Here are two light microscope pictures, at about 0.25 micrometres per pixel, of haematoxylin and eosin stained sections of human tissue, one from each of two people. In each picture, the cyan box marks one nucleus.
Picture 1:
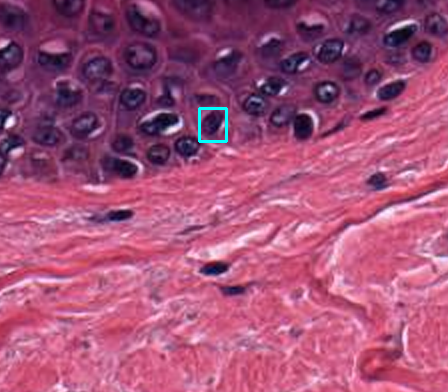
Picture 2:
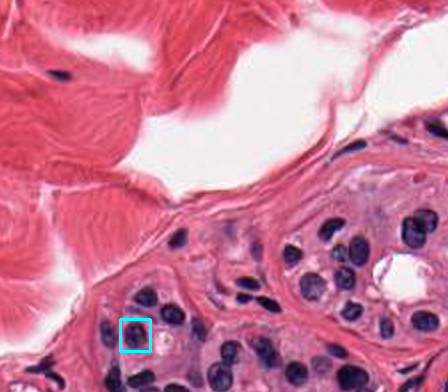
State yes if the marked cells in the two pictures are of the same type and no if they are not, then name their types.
No, the first is a keratinocyte and the second a sweat gland cell.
